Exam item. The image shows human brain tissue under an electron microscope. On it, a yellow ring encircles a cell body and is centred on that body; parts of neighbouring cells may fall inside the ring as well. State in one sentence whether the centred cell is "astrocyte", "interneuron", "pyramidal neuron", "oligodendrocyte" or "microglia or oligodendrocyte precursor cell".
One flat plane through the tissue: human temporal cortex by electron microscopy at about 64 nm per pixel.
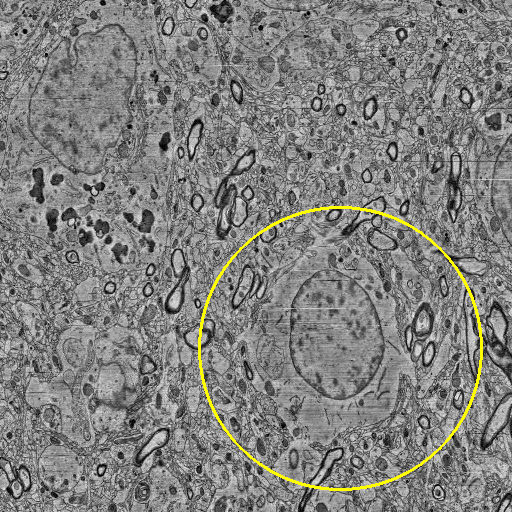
The cell body centred in the ring is an astrocyte.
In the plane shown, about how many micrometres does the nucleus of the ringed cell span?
About 9 by 6 micrometers, in this plane.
